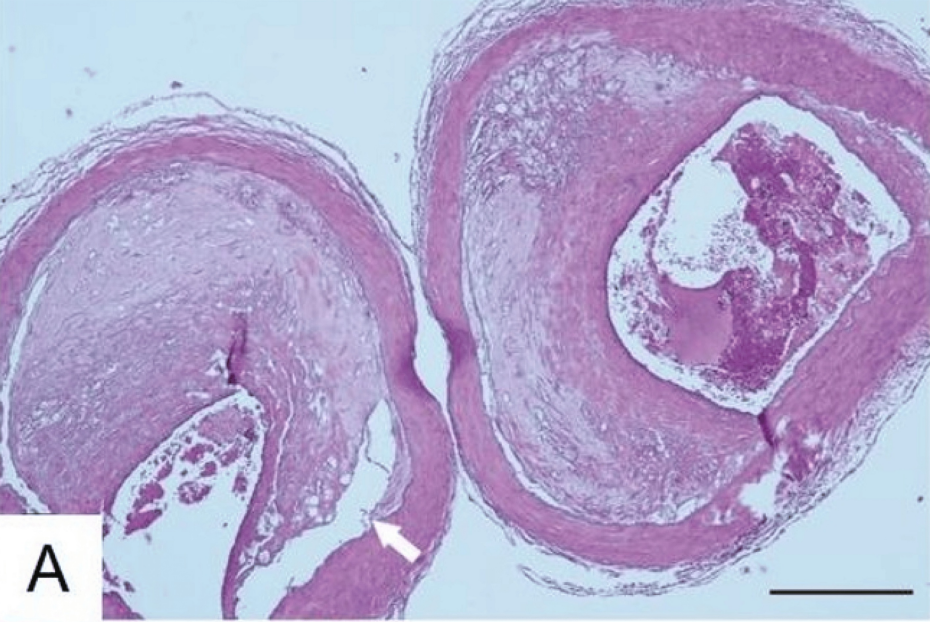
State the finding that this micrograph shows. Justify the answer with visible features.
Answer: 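A thick pale plaque fills most of one side of each vessel. The remaining lumen is narrowed and pushed to one side of the vessel. So: eccentric stenosis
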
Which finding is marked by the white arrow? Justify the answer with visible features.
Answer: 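The pale, loosely textured plaque material lies directly under the break.
Answer: ruptured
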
